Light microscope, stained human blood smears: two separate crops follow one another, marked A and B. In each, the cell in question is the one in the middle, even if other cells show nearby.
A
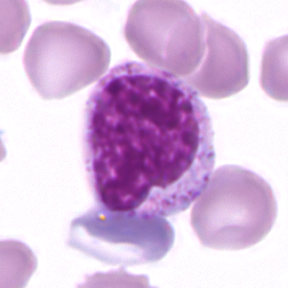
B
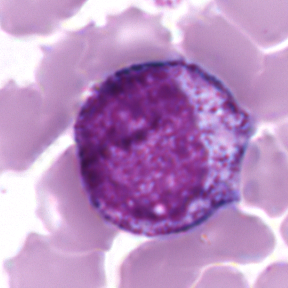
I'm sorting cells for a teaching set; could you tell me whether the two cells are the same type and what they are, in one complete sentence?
No, crop A shows a metamyelocyte, whereas in crop B the cell is a myelocyte.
